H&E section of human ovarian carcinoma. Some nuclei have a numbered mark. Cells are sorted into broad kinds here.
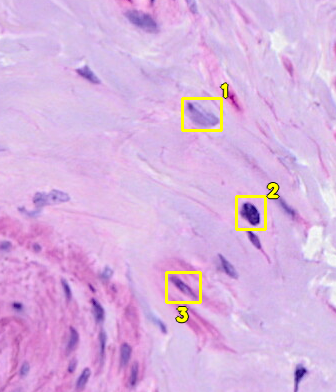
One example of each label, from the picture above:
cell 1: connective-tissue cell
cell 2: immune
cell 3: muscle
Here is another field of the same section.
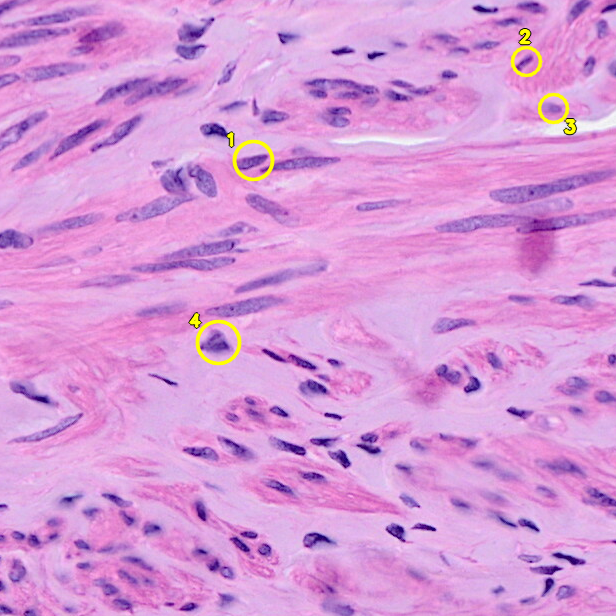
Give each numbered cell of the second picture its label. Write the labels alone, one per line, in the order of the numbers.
muscle
muscle
muscle
connective-tissue cell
